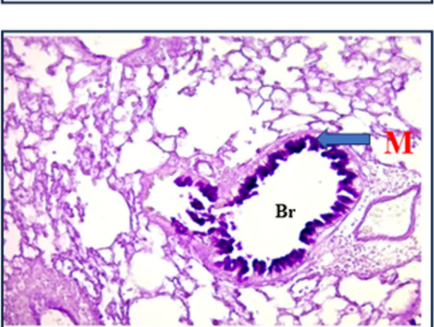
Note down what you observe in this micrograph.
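Lung tissue with a bronchus surrounded by thin-walled alveolar spaces. The bronchial epithelium is lined almost all around by tall goblet cells filled with dark purple-magenta material, while the lumen itself is largely clear. Around the airway wall the connective tissue looks thickened and more cellular than the thin alveolar septa.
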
